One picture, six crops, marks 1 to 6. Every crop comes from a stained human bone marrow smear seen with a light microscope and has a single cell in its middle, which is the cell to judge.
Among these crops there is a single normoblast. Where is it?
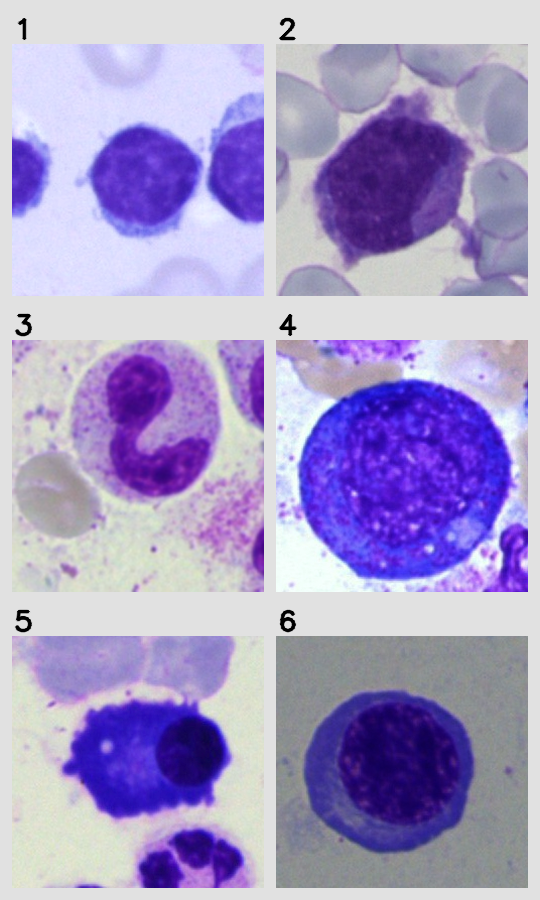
6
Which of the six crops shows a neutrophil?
3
